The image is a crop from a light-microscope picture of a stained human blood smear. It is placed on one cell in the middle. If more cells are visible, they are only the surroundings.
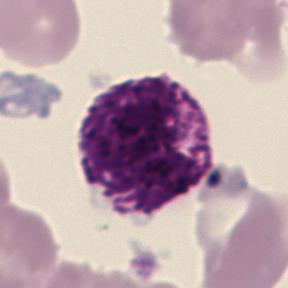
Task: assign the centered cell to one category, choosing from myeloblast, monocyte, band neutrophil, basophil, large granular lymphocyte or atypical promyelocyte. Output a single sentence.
This crop has a basophil at its centre.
